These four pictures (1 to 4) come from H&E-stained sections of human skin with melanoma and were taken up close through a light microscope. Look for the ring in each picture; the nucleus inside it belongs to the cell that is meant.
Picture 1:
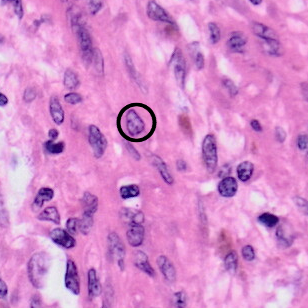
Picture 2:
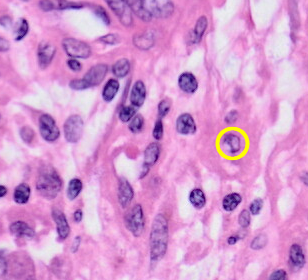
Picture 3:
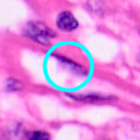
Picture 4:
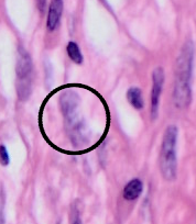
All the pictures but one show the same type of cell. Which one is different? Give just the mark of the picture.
4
